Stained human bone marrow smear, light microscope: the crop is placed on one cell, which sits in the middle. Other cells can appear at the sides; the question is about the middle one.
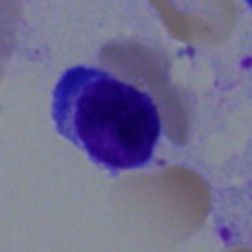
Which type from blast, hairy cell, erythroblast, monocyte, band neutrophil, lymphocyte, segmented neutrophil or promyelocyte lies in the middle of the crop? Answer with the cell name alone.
lymphocyte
